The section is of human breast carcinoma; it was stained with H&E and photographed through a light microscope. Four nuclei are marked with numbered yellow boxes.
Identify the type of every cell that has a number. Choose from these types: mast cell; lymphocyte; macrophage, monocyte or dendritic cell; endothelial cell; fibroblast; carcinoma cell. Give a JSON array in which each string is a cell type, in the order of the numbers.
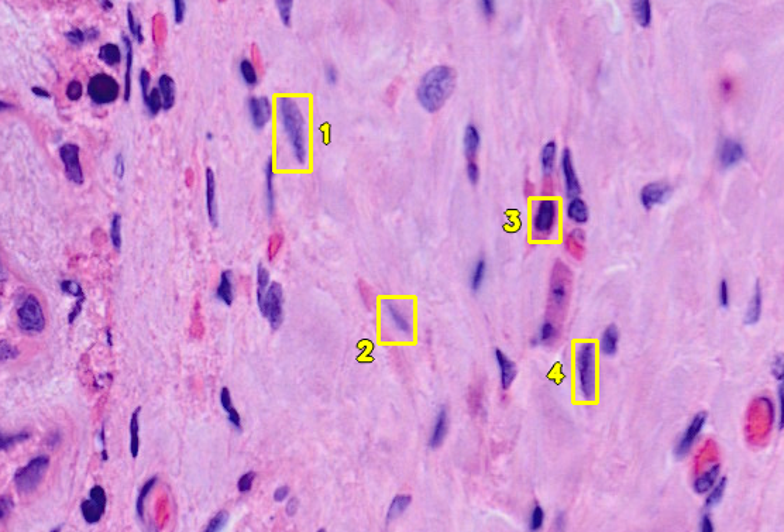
["fibroblast", "fibroblast", "mast cell", "fibroblast"]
